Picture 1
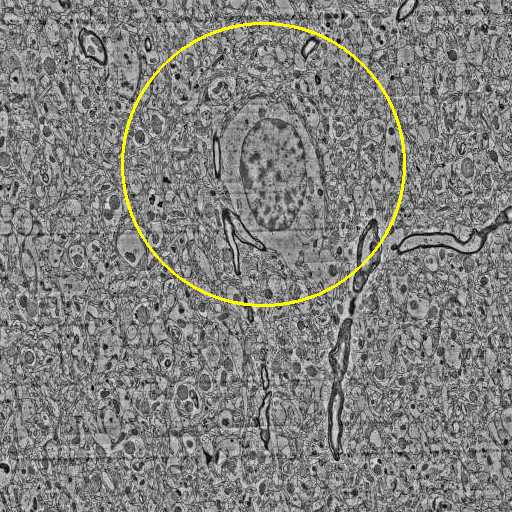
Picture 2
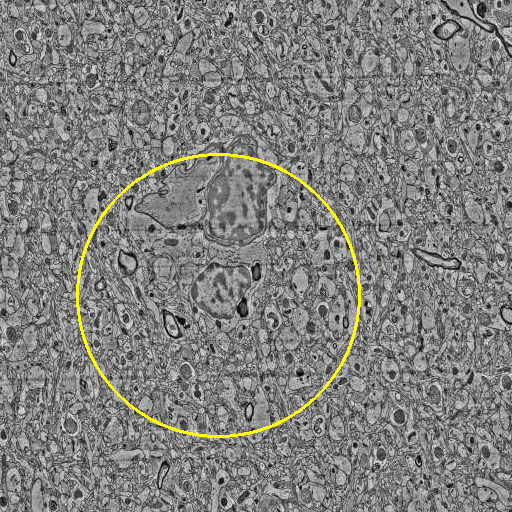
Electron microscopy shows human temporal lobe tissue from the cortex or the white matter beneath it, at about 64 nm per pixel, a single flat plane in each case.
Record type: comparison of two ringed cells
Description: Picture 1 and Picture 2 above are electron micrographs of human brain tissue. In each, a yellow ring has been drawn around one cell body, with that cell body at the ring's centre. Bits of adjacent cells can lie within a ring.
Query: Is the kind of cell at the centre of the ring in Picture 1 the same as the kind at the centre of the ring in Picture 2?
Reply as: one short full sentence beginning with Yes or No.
No, the two ringed cells are of two separate kinds.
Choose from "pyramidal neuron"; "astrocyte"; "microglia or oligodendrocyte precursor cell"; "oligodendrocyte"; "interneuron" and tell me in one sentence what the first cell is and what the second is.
What the first ring is centred on is an astrocyte; what the second ring is centred on is a microglial cell or oligodendrocyte precursor cell.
